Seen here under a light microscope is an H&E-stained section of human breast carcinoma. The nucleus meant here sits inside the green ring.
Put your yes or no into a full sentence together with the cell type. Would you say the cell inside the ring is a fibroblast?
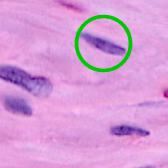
Yes, the cell inside the ring represents a fibroblast in this tissue.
